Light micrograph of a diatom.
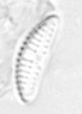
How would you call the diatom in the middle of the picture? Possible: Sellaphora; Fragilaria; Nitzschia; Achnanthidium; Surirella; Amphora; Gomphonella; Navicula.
I would call it Amphora.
